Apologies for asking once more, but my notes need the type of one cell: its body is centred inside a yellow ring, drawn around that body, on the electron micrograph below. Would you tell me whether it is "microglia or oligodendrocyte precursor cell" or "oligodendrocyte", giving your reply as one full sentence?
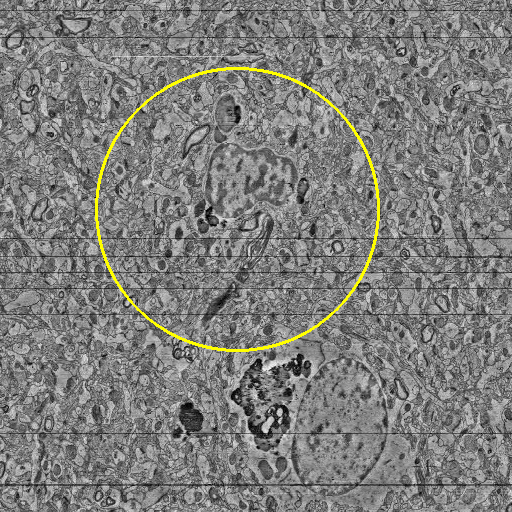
The cell that the yellow ring is centred on is a microglial cell or oligodendrocyte precursor cell in this micrograph.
